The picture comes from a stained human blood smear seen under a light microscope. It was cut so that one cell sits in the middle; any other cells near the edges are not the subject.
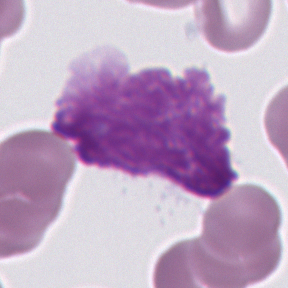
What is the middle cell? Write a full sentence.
The cell occupying the middle of the crop is a smudge cell.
